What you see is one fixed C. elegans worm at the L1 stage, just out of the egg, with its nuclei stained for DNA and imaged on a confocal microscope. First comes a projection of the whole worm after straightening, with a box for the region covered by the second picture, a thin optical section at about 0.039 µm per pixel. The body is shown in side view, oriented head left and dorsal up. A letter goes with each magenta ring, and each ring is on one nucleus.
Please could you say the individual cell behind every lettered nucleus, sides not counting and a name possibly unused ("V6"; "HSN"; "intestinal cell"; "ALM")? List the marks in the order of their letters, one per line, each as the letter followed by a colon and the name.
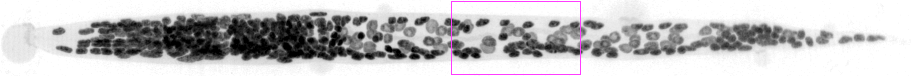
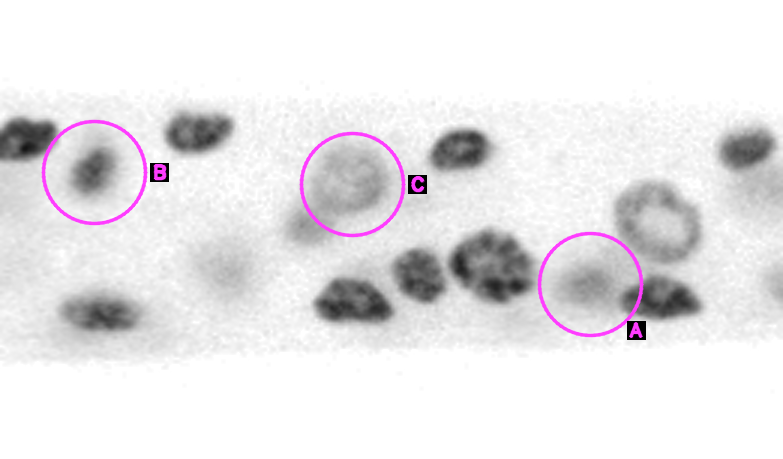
A: HSN
B: ALM
C: intestinal cell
